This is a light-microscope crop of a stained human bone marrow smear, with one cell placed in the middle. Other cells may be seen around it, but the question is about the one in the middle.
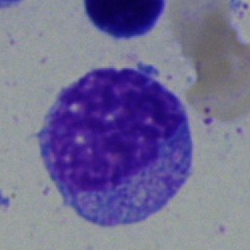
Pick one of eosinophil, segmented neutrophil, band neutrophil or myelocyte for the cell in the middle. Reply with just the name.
myelocyte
